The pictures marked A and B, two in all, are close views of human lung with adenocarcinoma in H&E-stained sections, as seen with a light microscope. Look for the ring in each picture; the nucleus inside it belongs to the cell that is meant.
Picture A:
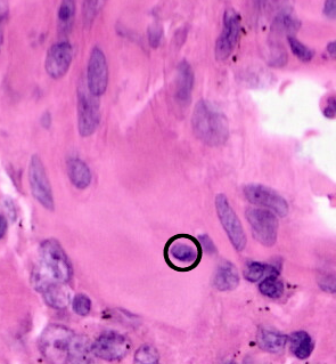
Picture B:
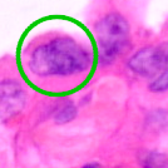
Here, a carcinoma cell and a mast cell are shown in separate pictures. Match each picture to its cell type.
A: mast cell
B: carcinoma cell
